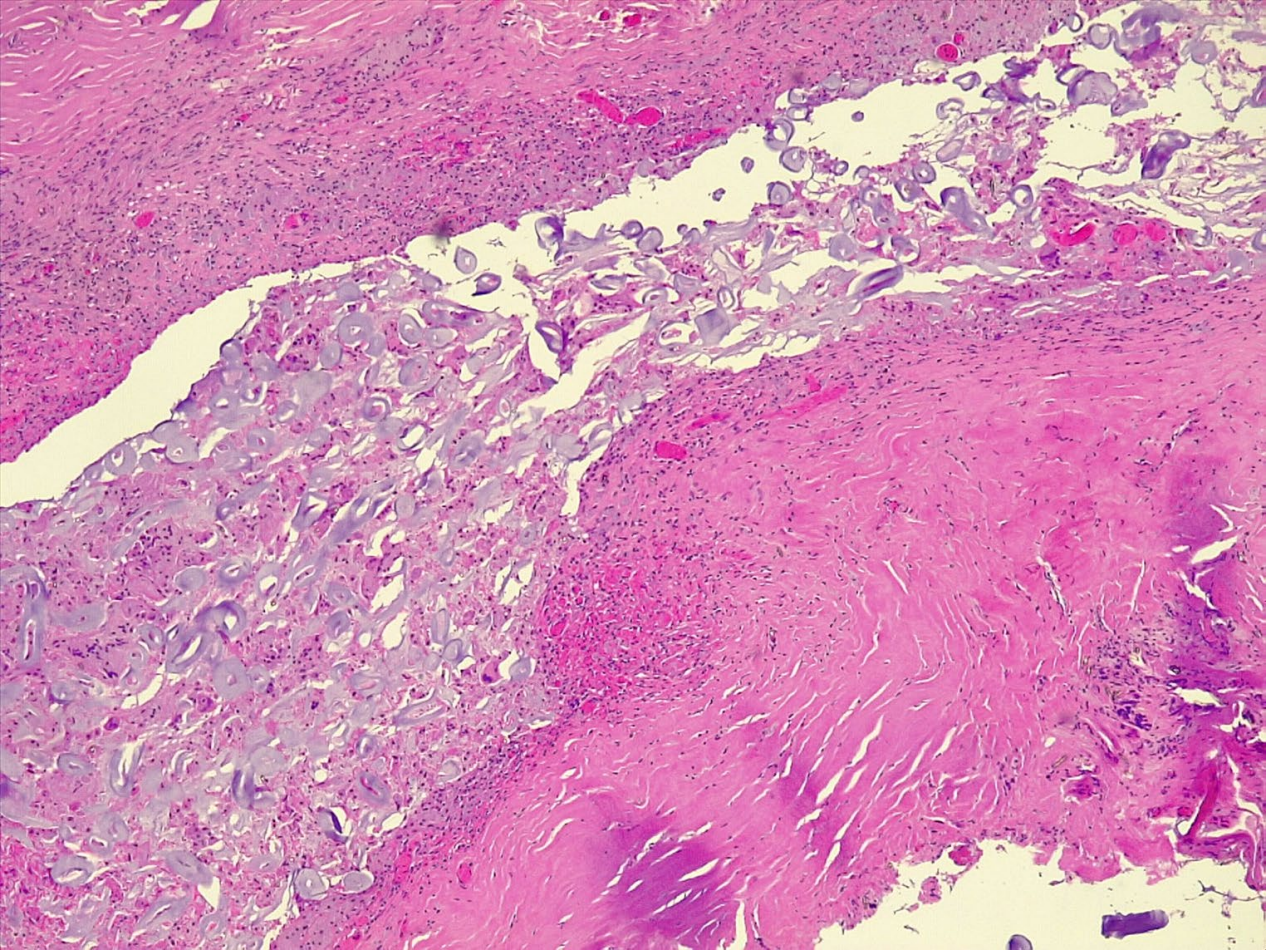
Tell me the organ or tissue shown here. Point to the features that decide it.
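Large areas of dense, wavy pink collagen bundles. Scattered small elongated nuclei lie between the fibres.
Answer: fibrous tissue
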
